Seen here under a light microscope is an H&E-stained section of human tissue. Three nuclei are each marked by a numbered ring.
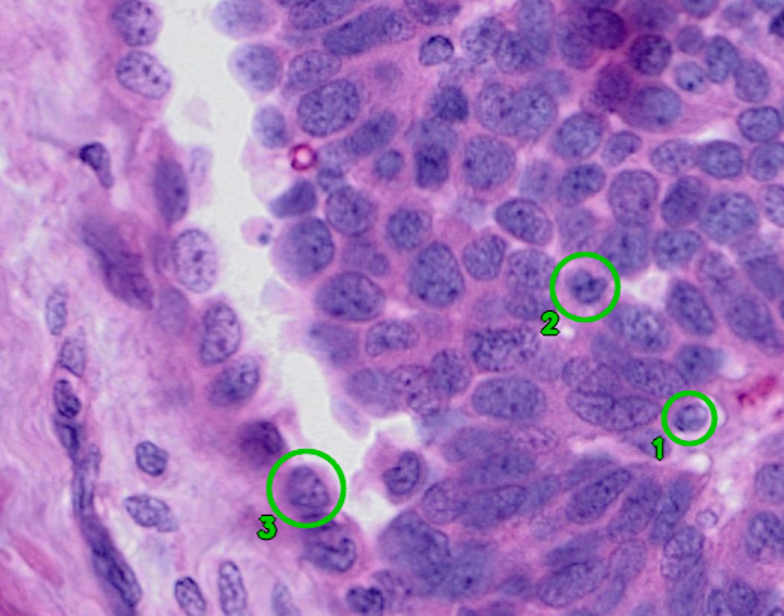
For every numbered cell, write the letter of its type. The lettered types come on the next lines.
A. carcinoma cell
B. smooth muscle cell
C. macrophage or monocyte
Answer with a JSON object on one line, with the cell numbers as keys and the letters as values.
{"1": "C", "2": "C", "3": "A"}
